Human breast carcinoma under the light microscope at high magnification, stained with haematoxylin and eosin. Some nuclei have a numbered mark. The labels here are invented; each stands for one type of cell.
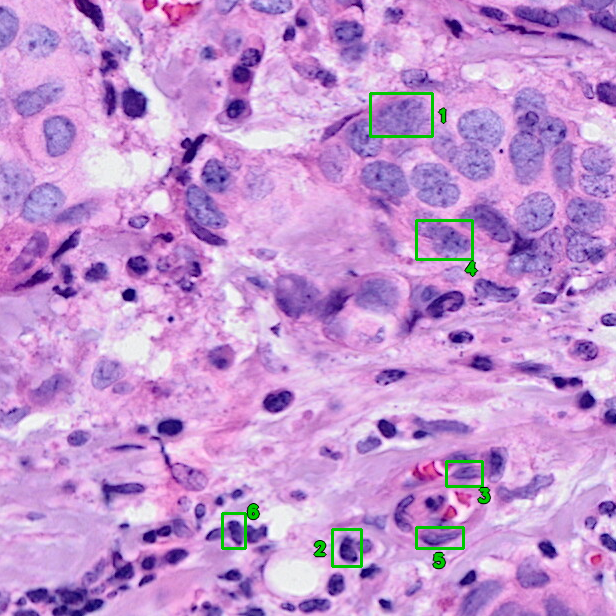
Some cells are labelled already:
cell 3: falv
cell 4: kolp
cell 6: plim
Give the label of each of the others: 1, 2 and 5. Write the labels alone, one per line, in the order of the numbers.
kolp
plim
falv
